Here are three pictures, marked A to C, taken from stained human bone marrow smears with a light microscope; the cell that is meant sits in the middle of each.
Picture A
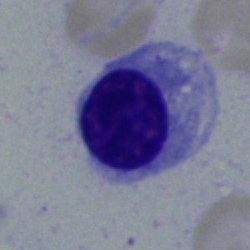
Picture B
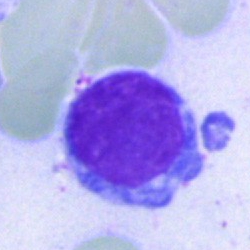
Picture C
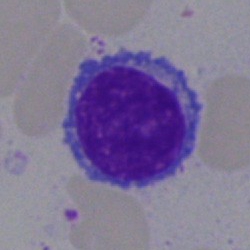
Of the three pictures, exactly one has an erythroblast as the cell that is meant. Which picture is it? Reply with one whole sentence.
Picture A shows the erythroblast.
